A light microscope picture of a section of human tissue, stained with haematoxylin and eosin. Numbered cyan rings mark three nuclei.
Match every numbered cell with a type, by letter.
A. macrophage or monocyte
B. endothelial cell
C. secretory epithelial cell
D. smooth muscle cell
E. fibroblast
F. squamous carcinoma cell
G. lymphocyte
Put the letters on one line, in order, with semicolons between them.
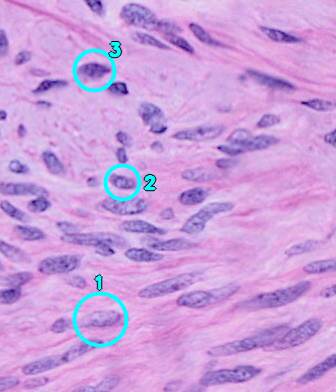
D; D; E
